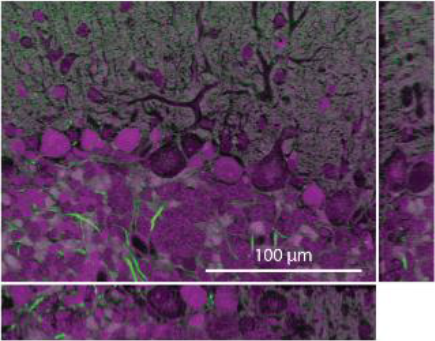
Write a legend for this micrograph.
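A row of large rounded magenta cell bodies runs across the middle of the field, with a branching process rising from them into the less dense upper layer. Side strips at the right and bottom show the same tissue in cross-sectional views through the volume. The large cell bodies in the row are Purkinje neurons of the cerebellum.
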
